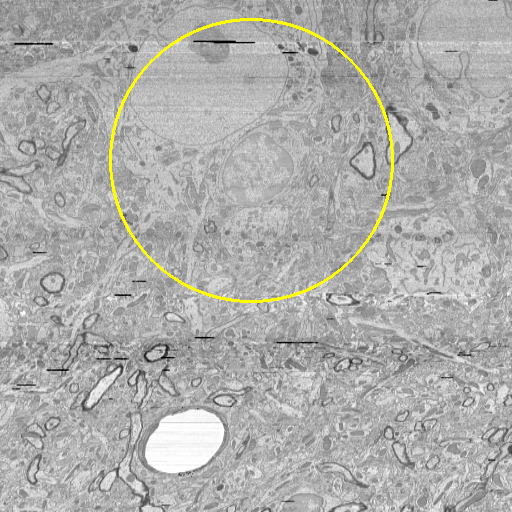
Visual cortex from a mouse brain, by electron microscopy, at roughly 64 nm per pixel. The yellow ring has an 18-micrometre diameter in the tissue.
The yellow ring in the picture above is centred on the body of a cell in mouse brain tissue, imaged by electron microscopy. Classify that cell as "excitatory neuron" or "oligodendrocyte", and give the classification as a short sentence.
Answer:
The cell in the middle of the ring is an oligodendrocyte.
